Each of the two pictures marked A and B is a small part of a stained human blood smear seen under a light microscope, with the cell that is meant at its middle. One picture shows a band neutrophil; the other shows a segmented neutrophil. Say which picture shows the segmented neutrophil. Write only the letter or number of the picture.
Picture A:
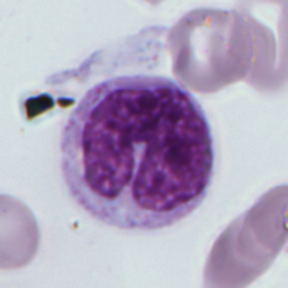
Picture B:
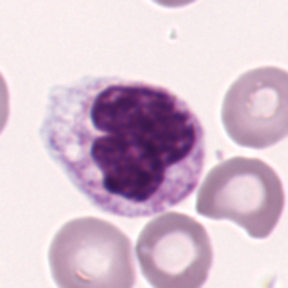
B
